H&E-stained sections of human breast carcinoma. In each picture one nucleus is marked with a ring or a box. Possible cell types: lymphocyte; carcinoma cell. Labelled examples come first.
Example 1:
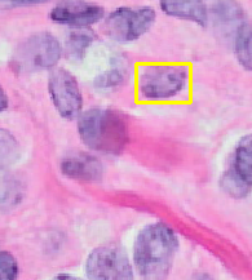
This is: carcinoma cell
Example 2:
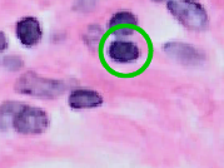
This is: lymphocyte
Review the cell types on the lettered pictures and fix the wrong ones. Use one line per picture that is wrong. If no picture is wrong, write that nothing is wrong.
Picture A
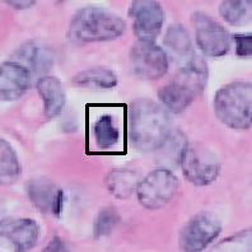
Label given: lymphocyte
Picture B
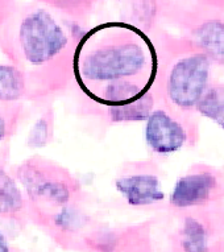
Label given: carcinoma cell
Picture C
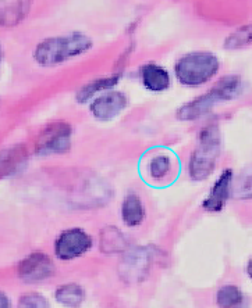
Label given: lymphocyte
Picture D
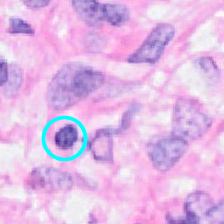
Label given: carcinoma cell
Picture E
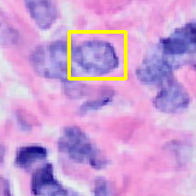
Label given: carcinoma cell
D: not carcinoma cell but lymphocyte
